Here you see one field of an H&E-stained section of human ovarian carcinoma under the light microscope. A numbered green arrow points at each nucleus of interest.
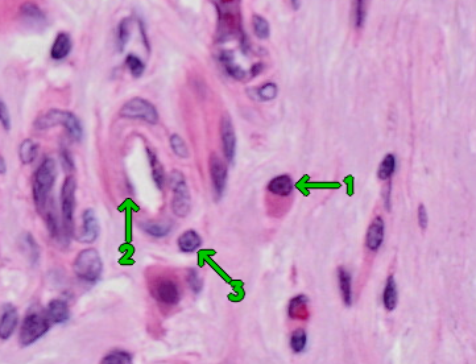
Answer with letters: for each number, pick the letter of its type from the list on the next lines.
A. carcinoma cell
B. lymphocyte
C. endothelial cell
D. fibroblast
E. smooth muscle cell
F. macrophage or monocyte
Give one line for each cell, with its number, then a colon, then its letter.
1: B
2: C
3: B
